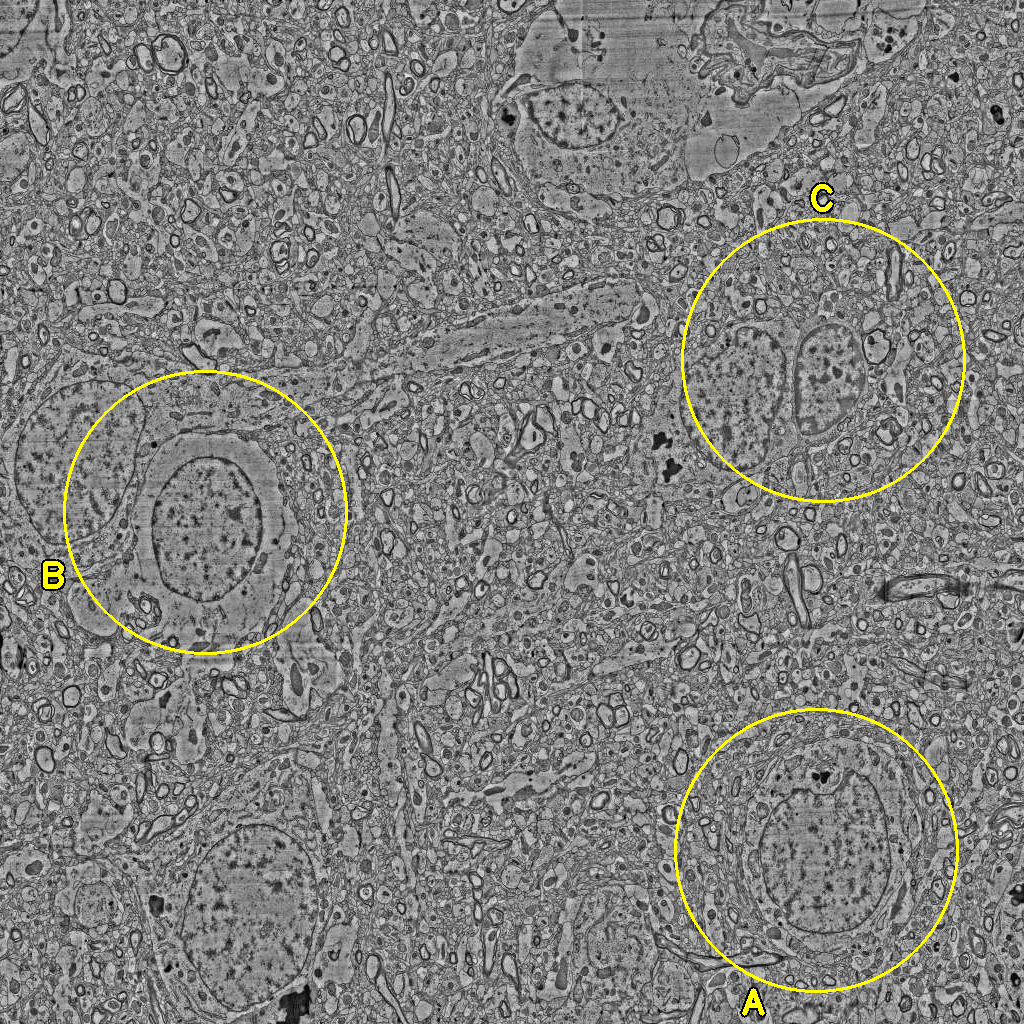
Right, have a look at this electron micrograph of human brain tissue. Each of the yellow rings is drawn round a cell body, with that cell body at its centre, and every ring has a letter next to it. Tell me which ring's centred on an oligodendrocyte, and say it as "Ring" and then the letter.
Ring C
